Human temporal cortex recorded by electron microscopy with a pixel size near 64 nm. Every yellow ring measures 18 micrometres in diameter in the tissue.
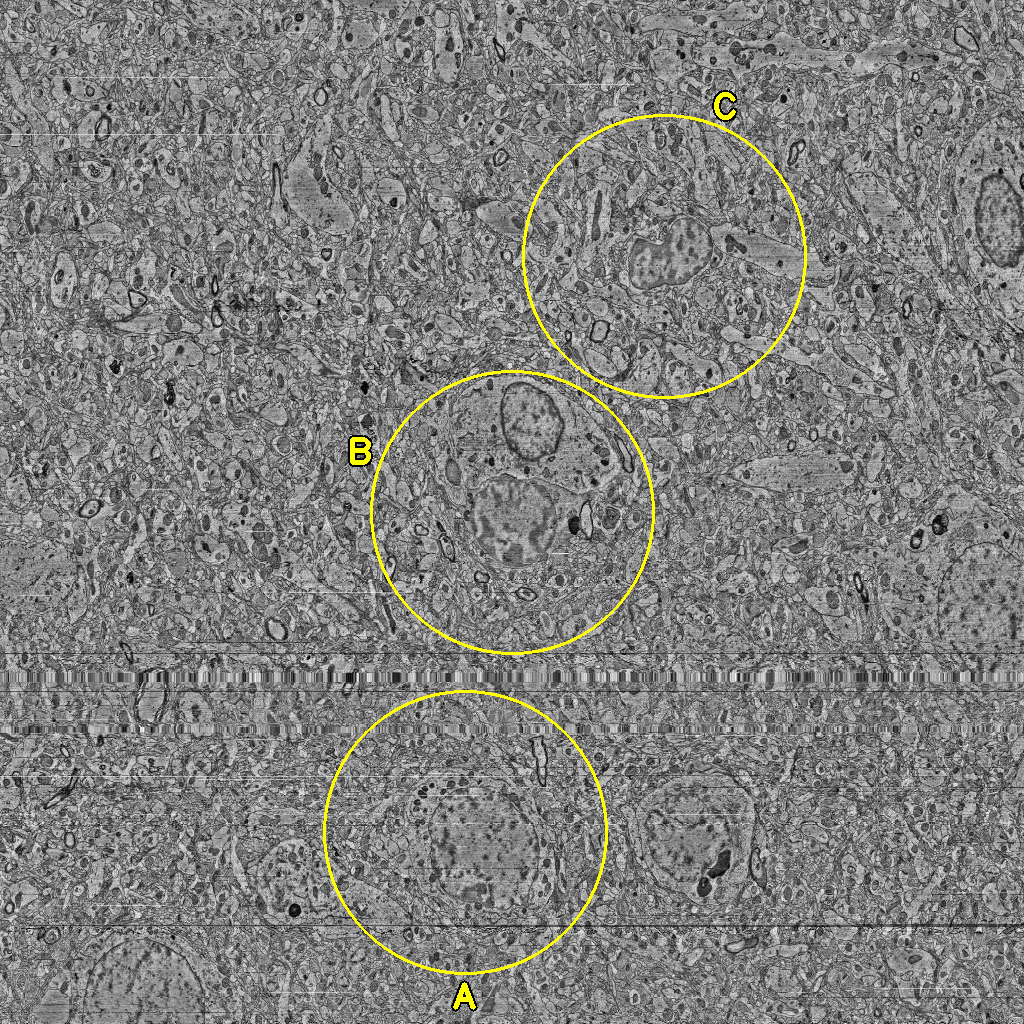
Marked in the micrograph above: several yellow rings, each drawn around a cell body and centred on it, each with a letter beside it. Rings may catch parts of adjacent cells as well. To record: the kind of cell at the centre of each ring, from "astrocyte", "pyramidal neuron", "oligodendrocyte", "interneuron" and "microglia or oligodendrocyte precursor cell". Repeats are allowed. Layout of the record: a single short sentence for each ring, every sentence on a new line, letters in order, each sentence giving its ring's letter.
At the centre of ring A lies an interneuron.
At the centre of ring B lies an oligodendrocyte.
At the centre of ring C lies a microglial cell or oligodendrocyte precursor cell.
